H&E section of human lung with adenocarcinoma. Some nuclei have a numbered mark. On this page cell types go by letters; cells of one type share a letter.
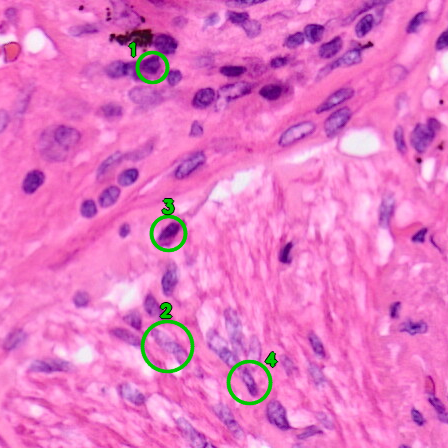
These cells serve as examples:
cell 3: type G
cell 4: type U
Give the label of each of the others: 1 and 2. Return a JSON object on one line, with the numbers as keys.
{"1": "type G", "2": "type U"}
